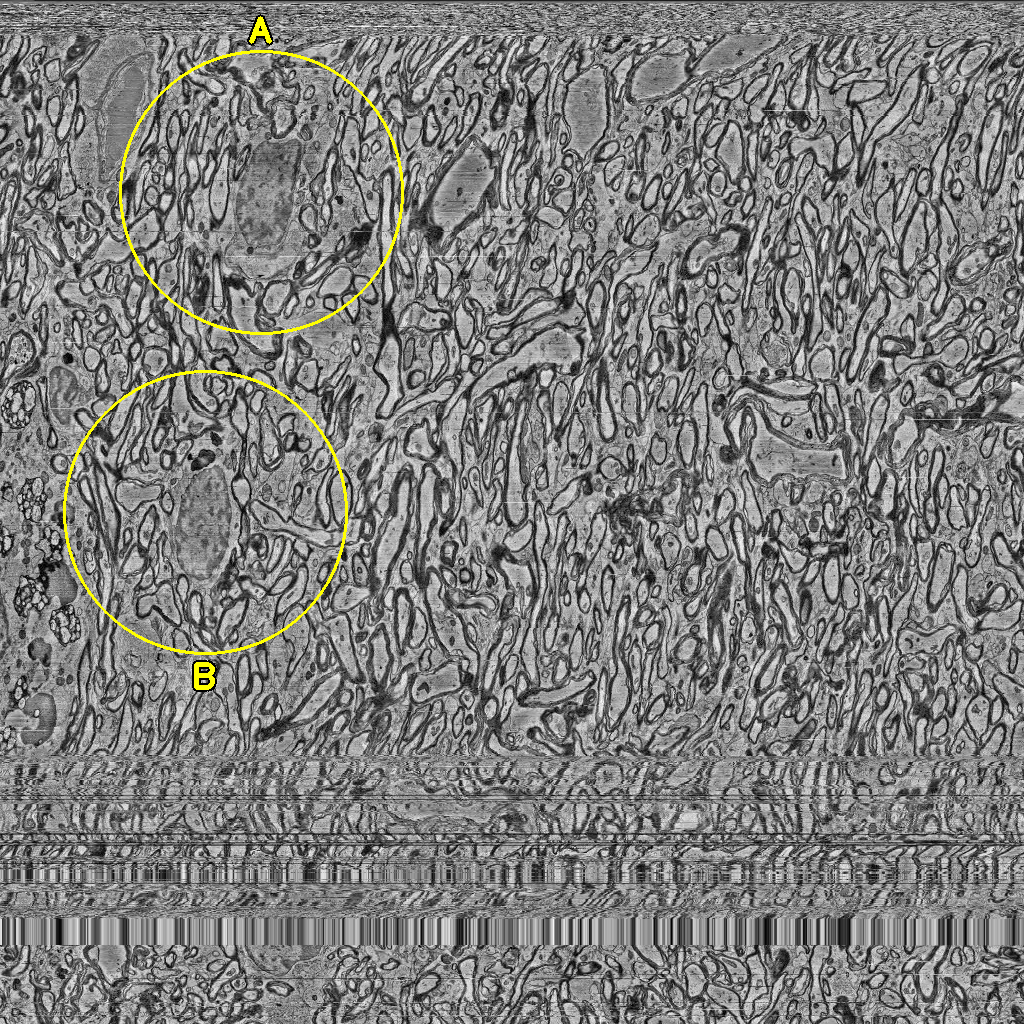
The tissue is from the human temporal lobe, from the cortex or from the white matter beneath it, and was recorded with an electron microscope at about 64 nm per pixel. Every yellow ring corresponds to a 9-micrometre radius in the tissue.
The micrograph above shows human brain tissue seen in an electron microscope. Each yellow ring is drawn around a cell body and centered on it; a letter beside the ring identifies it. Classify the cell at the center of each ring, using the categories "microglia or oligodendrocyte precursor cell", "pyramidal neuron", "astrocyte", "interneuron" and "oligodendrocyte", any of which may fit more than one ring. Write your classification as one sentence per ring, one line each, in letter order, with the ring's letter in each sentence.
Ring A is centered on an oligodendrocyte.
Ring B is centered on an oligodendrocyte.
